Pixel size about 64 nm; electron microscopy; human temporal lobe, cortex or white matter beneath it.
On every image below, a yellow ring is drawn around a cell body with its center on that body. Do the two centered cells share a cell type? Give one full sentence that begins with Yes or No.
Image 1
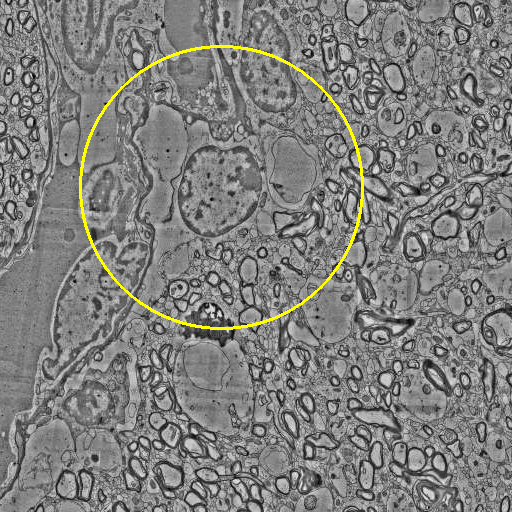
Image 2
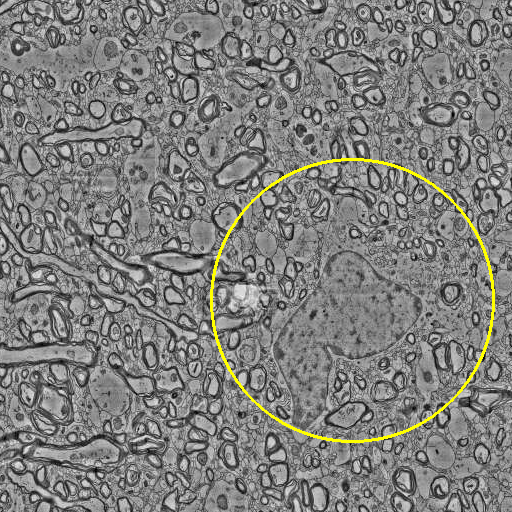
Yes, the centered cells in the two images are of a single cell type.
